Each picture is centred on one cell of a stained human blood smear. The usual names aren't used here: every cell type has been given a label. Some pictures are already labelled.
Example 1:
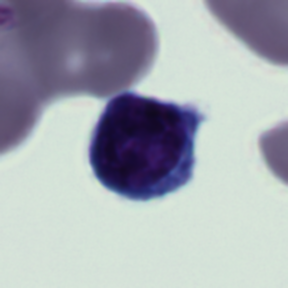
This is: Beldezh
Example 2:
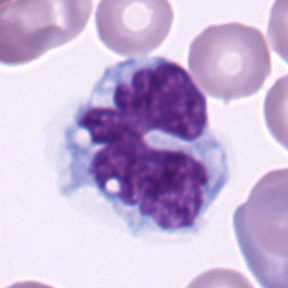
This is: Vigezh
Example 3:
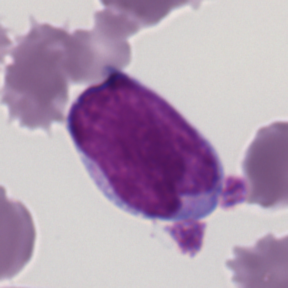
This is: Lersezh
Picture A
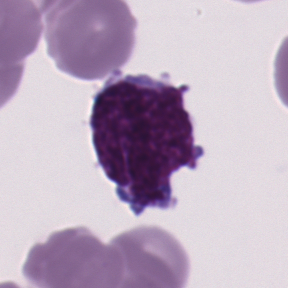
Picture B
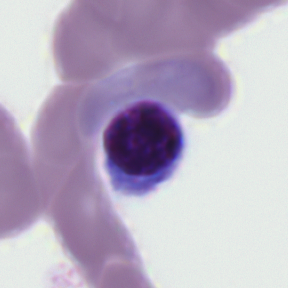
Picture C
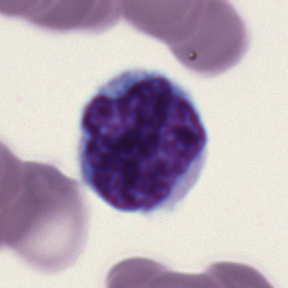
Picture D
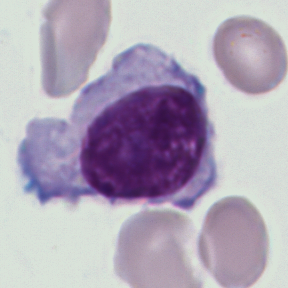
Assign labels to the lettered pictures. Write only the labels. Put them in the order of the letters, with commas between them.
Lersezh, Beldezh, Vigezh, Beldezh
